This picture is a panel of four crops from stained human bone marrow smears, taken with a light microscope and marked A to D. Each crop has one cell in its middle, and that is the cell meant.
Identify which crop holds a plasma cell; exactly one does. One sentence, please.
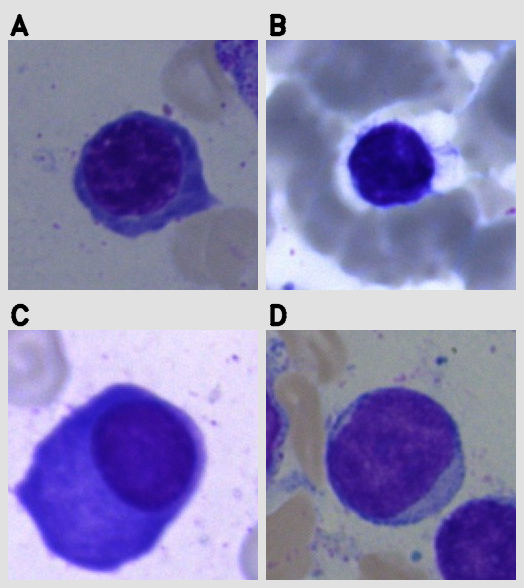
It is crop C that shows a plasma cell.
